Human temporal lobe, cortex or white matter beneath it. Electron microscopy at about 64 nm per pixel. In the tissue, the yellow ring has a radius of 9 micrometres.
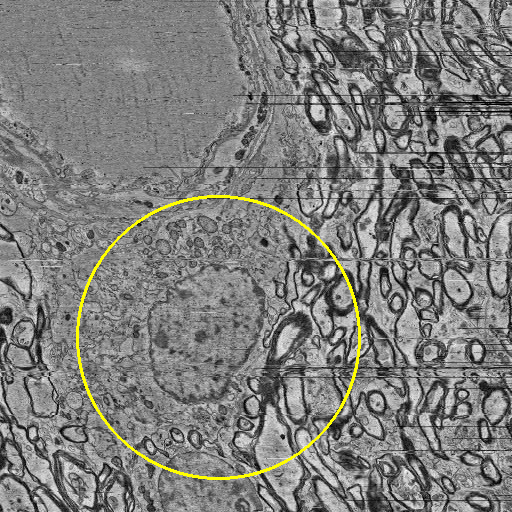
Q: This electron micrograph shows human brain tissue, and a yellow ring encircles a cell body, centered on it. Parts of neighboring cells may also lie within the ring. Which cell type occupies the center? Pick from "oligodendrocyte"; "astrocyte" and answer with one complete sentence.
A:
What sits at the ring's center in this micrograph is an astrocyte, among those choices.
